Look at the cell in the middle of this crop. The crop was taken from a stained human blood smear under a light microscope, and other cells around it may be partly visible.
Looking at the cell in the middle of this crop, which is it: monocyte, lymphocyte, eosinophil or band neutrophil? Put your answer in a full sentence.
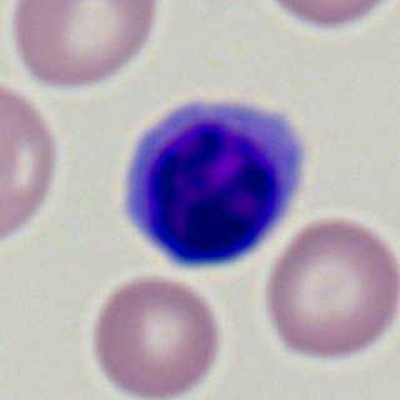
Present in the middle of the crop is a lymphocyte.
